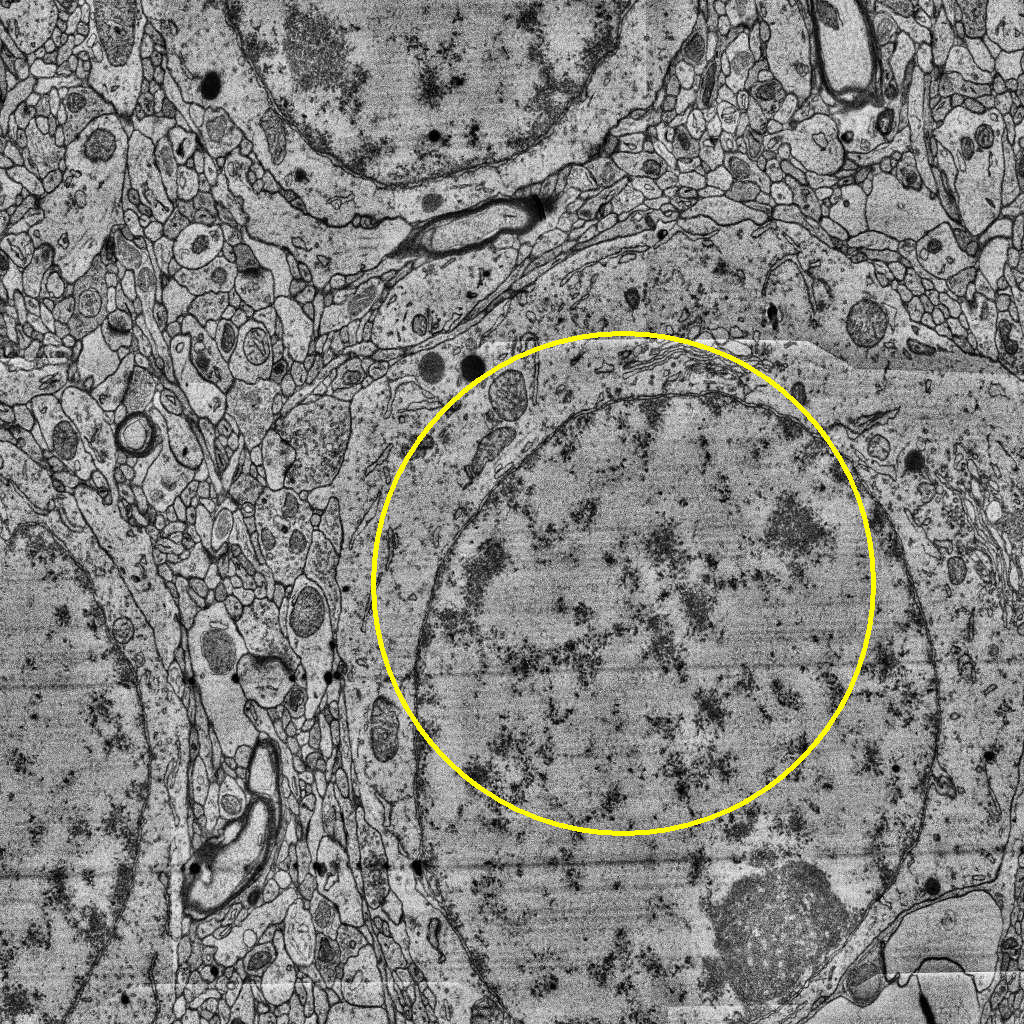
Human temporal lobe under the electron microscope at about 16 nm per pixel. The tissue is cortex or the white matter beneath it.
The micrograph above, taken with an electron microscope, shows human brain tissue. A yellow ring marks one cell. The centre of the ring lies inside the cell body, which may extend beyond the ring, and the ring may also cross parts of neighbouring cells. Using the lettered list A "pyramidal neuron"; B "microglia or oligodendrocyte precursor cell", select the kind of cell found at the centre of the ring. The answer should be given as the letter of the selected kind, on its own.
A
